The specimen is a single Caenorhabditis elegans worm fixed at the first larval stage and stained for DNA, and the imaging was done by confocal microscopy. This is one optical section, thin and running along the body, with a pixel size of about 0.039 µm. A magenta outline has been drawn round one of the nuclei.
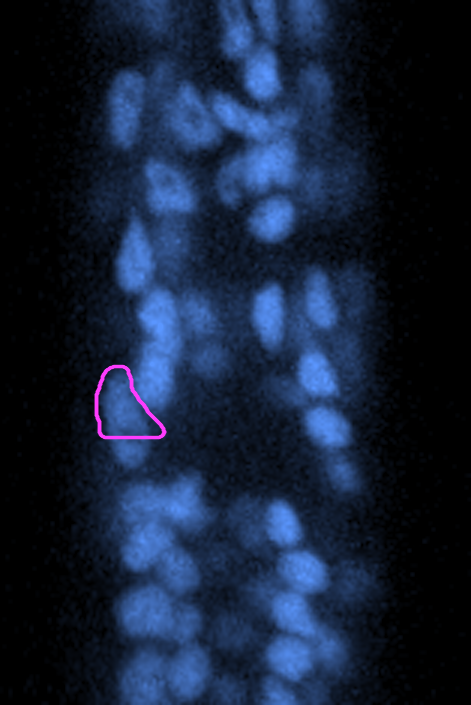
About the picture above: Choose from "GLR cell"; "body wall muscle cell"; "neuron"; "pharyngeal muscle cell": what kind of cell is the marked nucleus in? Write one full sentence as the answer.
This is the nucleus of a body wall muscle cell.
